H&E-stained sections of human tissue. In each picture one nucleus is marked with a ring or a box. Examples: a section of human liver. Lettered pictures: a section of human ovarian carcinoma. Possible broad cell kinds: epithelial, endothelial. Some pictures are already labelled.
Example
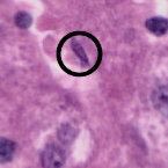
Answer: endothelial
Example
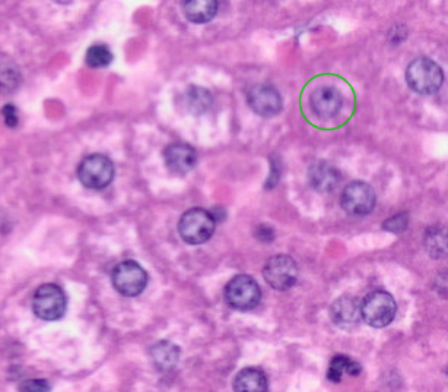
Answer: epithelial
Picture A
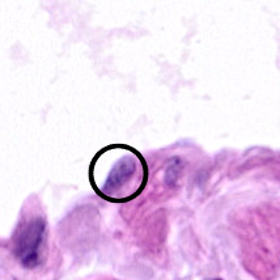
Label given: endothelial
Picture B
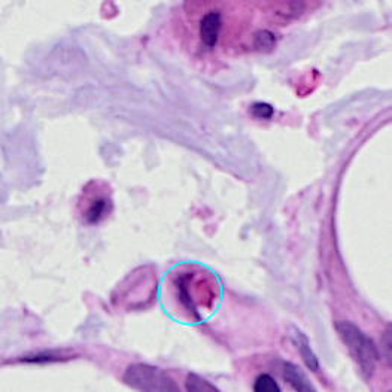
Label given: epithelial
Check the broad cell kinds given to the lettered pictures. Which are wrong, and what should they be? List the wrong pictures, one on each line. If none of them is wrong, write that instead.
B is labelled epithelial; correct label: endothelial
